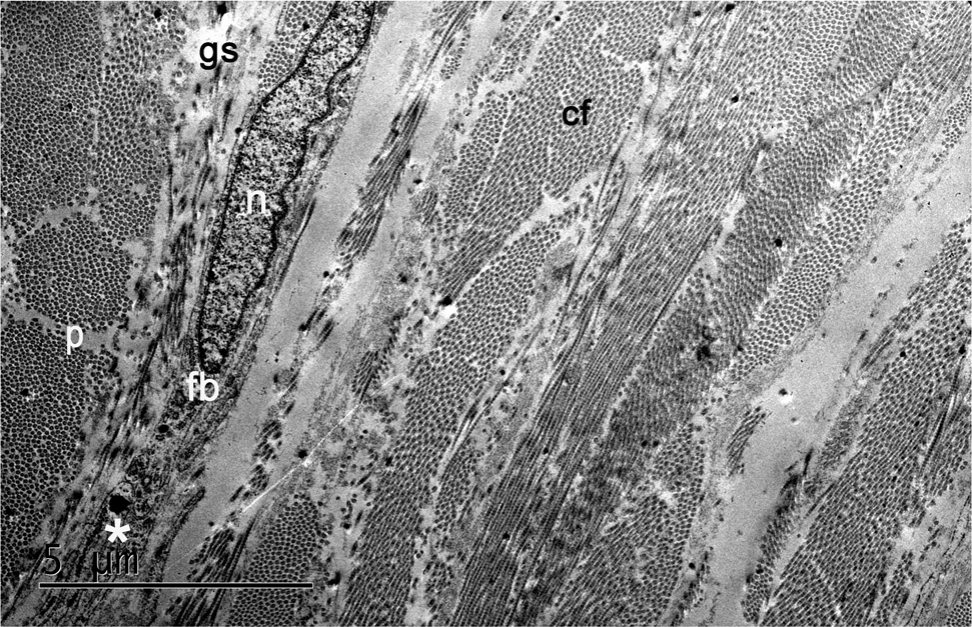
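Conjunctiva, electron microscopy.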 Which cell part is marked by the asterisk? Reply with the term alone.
rough endoplasmic reticulum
